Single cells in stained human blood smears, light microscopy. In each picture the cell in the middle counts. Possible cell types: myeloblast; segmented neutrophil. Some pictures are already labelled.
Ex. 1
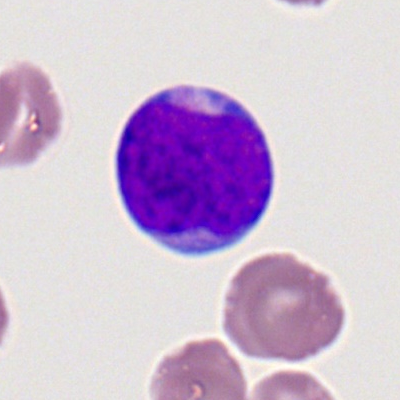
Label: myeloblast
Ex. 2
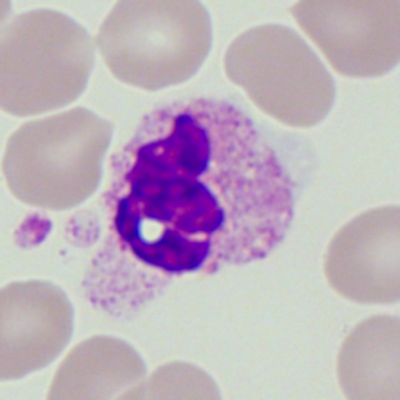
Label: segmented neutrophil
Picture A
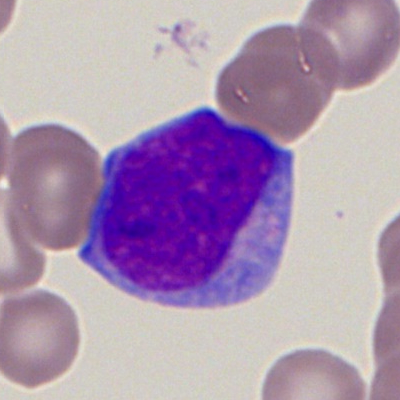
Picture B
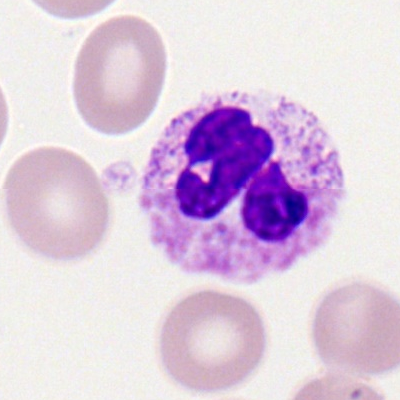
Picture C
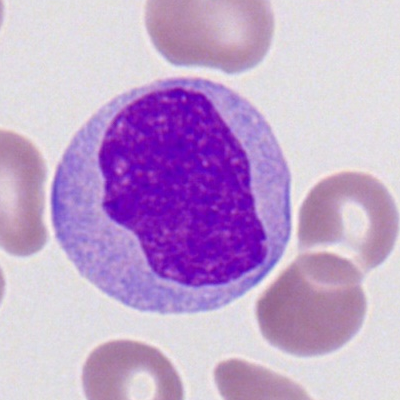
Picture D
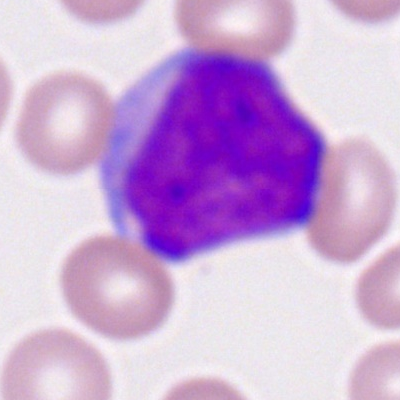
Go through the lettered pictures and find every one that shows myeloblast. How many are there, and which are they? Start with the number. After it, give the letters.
Count: 3 (A, C, D)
